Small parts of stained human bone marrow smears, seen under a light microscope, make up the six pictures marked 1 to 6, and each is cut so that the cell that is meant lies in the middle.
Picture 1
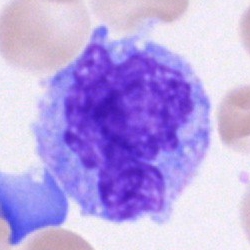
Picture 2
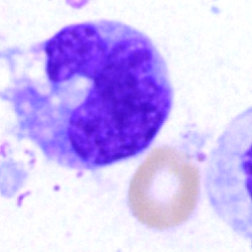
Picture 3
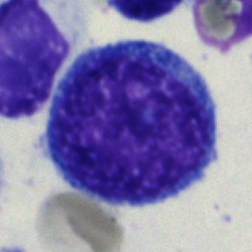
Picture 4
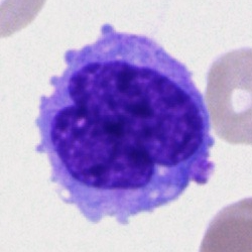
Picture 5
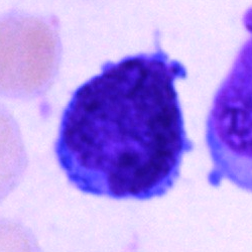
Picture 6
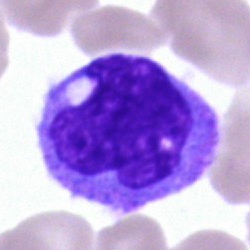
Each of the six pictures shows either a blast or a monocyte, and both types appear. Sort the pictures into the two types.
1: monocyte
2: monocyte
3: blast
4: monocyte
5: blast
6: monocyte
